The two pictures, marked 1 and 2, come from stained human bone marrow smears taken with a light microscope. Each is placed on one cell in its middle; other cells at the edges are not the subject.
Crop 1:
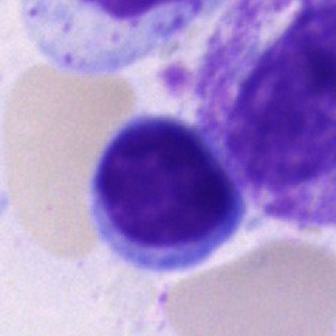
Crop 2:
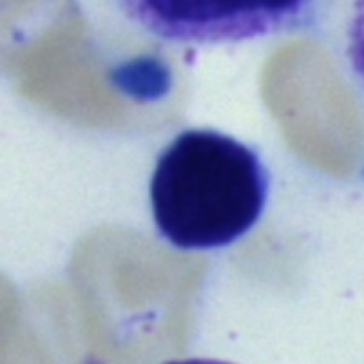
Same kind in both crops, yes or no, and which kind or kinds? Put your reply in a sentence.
Yes, both crops show lymphocytes, and that holds for each one.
